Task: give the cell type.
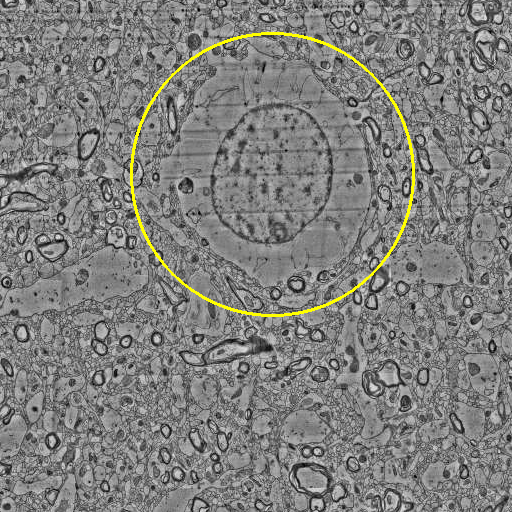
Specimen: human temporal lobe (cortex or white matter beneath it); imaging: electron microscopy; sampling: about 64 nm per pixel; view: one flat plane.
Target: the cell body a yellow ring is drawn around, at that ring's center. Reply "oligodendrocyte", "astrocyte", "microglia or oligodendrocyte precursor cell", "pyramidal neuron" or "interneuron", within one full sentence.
In this picture, the cell whose body lies at the ring's center is an astrocyte.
